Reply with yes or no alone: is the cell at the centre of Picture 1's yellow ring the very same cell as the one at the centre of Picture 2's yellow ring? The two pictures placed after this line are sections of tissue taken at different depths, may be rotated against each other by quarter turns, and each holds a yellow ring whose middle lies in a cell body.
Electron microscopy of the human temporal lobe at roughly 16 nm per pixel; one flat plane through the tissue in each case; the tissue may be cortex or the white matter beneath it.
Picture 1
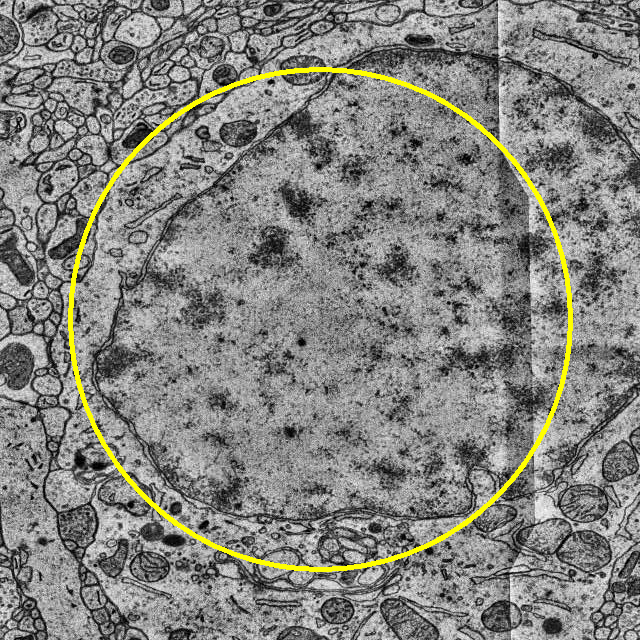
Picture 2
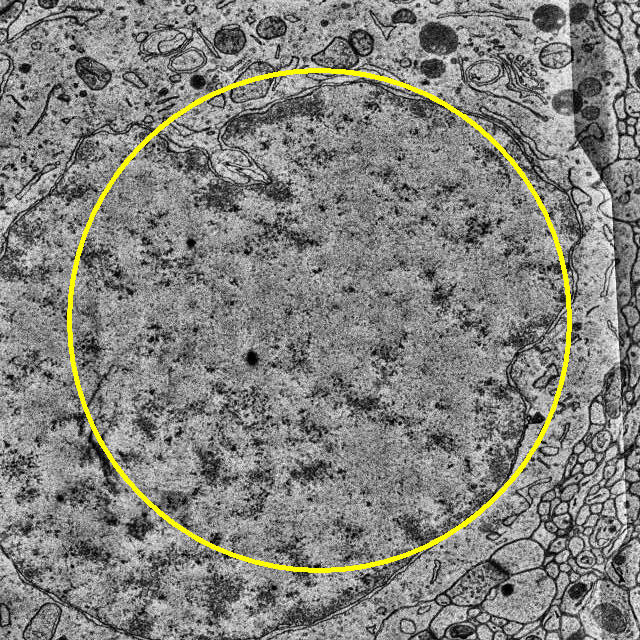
yes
